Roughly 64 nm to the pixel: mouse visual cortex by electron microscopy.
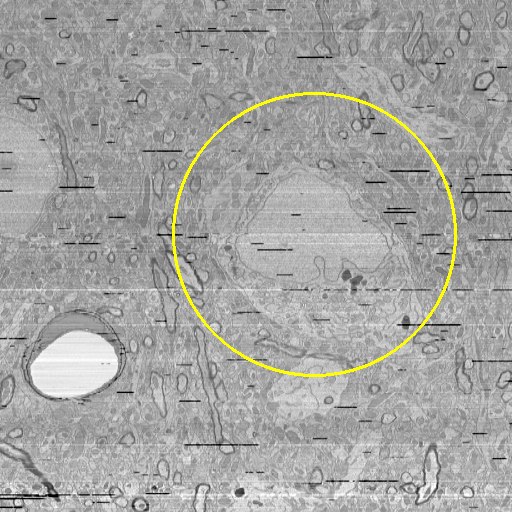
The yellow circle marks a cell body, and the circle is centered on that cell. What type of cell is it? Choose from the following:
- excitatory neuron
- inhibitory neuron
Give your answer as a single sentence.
This cell body belongs to an inhibitory neuron.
